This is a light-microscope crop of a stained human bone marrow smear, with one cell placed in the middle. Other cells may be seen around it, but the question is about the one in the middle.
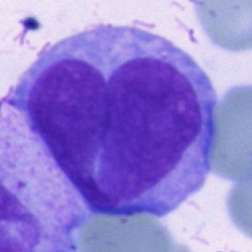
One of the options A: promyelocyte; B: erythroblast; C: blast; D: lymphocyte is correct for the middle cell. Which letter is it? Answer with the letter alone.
C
